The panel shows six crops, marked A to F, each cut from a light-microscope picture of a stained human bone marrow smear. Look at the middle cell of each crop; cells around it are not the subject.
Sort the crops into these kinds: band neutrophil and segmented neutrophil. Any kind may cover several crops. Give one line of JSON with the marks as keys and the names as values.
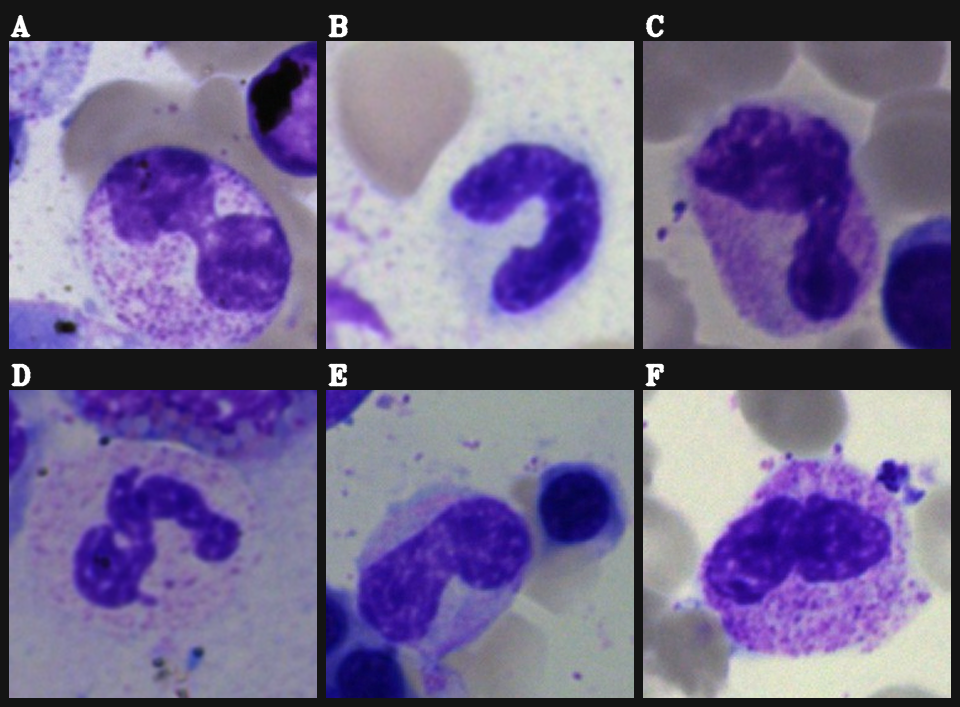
{"A": "segmented neutrophil", "B": "band neutrophil", "C": "segmented neutrophil", "D": "segmented neutrophil", "E": "band neutrophil", "F": "band neutrophil"}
